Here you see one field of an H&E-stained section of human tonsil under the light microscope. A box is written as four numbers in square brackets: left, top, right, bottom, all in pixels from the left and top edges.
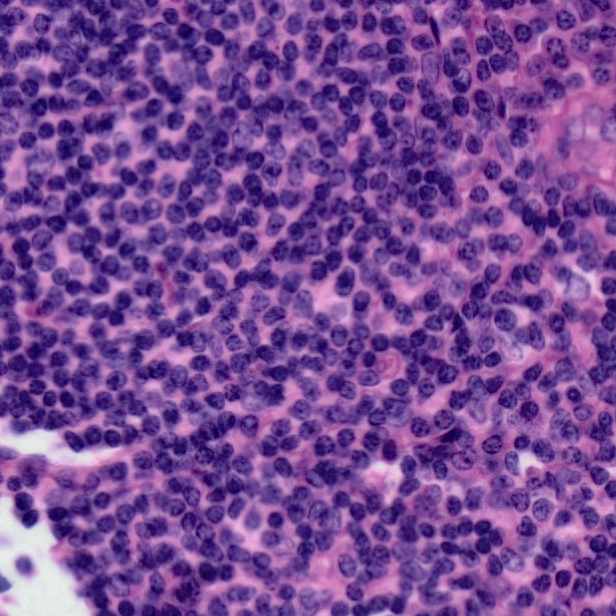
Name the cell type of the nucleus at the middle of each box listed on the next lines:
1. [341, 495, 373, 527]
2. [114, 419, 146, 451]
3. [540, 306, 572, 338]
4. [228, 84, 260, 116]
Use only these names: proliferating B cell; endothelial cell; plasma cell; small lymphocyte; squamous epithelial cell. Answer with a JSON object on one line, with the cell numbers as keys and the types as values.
{"1": "small lymphocyte", "2": "small lymphocyte", "3": "plasma cell", "4": "small lymphocyte"}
